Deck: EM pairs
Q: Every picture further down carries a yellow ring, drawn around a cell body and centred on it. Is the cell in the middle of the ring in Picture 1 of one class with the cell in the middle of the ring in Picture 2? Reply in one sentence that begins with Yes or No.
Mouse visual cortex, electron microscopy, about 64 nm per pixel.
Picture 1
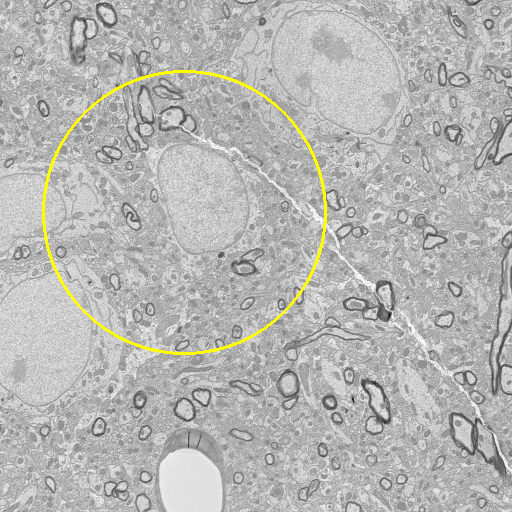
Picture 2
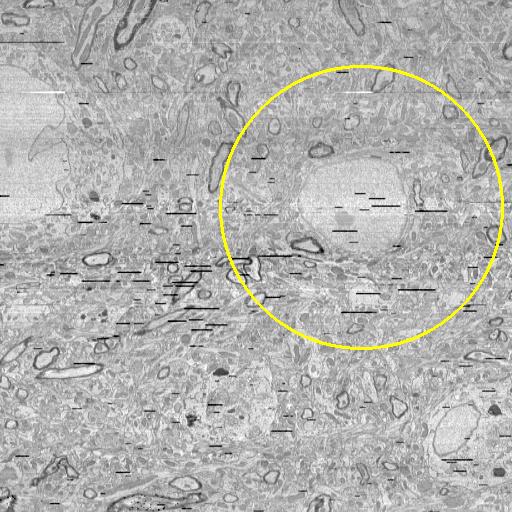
Yes, the cell centred in the ring of Picture 1 and the one in Picture 2 belong to one class.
